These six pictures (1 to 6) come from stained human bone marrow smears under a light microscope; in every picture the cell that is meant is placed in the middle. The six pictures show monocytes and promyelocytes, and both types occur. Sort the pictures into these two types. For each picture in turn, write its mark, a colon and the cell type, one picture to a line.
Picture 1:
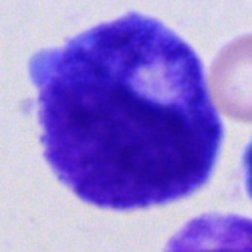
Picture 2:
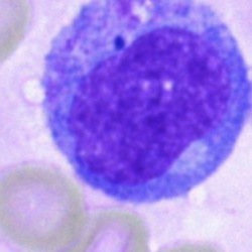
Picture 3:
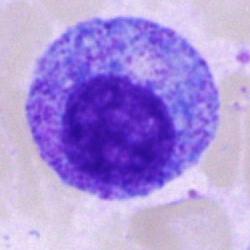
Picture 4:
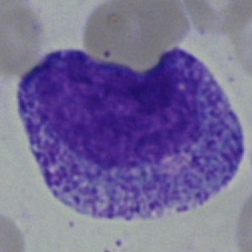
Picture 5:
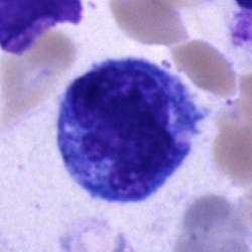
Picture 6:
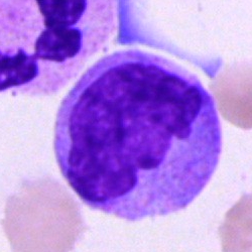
1: promyelocyte
2: promyelocyte
3: promyelocyte
4: promyelocyte
5: monocyte
6: monocyte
